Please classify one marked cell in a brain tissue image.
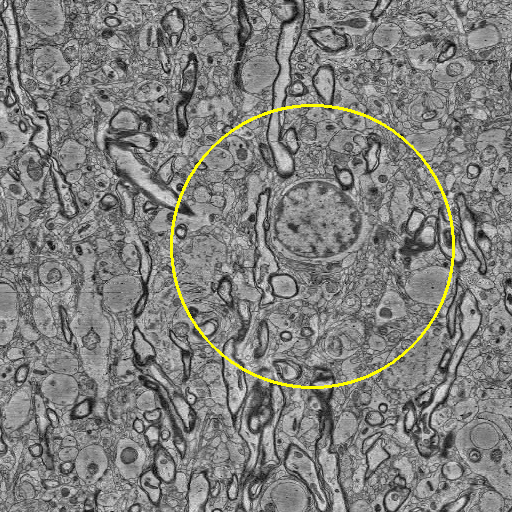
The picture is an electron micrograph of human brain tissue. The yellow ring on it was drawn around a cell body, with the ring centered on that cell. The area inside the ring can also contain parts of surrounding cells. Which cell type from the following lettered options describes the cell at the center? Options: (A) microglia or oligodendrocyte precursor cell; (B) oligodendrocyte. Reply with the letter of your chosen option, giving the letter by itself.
A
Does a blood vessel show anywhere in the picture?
No, none shows.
